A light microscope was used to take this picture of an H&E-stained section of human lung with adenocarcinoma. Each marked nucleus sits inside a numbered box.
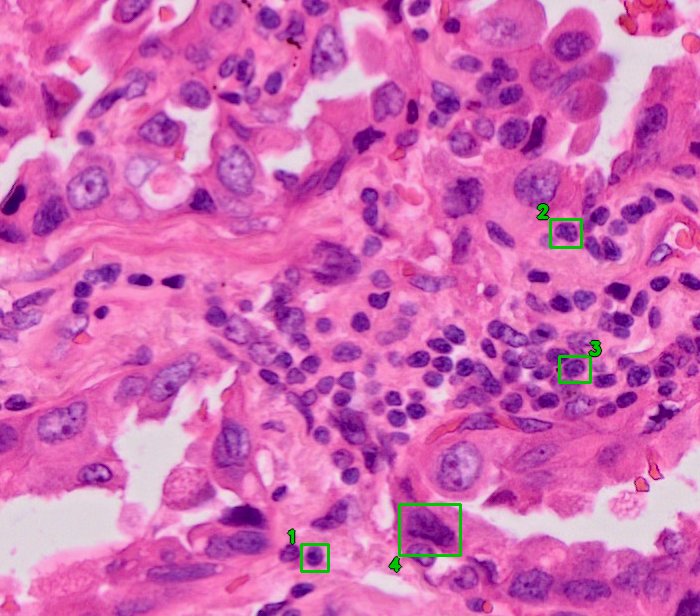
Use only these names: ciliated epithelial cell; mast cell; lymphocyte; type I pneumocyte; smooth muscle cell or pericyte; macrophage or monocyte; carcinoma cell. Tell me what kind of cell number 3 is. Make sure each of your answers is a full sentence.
Looking at the numbered marks, cell 3 is a lymphocyte.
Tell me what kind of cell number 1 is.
The cell marked with number 1 is a lymphocyte.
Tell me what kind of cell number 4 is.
Cell 4 should be recorded as a carcinoma cell.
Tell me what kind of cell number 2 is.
The numbered cell 2 is identified here as a lymphocyte.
